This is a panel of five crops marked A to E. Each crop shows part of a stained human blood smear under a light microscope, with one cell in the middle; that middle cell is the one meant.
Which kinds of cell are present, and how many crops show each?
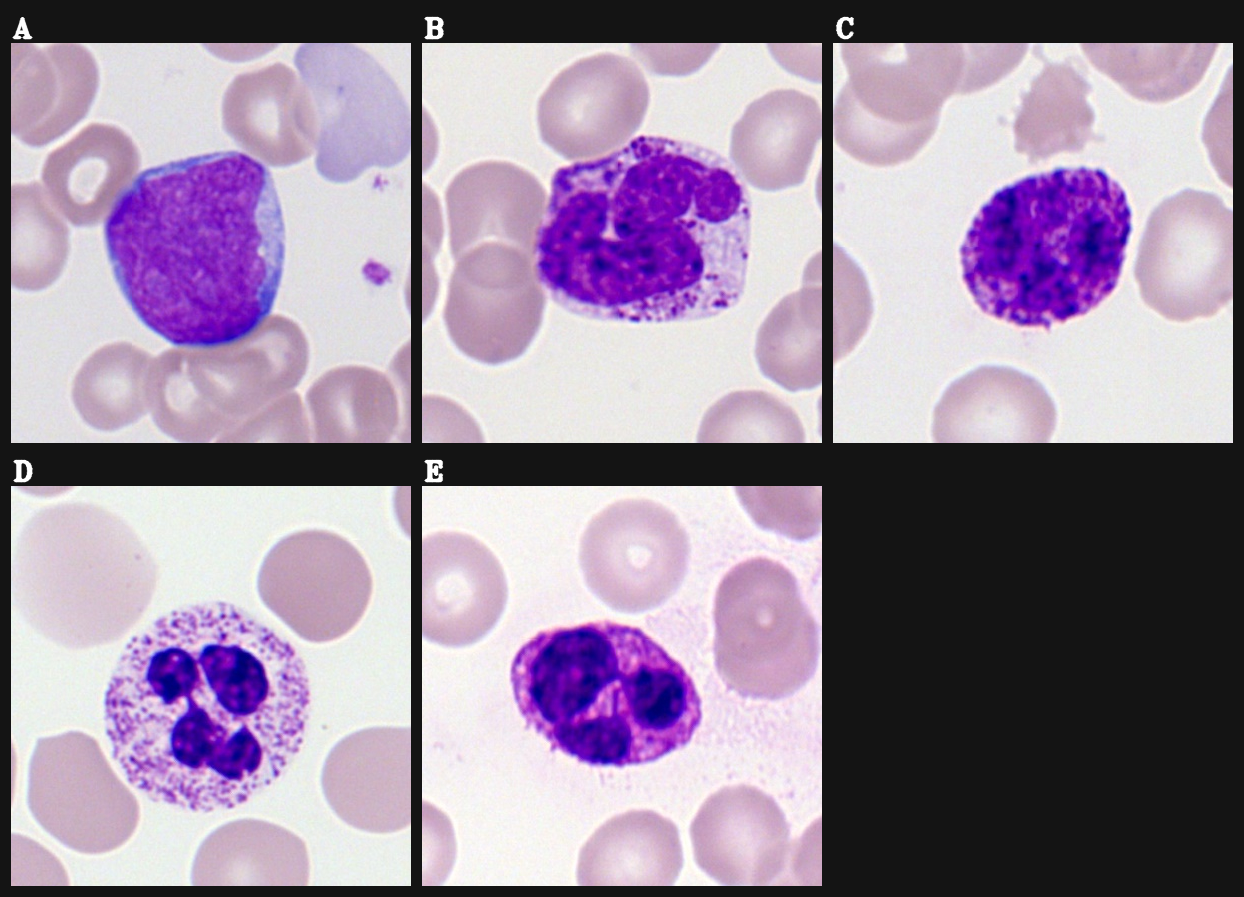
basophil: 3
myeloblast: 1
segmented neutrophil: 1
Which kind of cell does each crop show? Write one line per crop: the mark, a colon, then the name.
A: myeloblast
B: basophil
C: basophil
D: segmented neutrophil
E: basophil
